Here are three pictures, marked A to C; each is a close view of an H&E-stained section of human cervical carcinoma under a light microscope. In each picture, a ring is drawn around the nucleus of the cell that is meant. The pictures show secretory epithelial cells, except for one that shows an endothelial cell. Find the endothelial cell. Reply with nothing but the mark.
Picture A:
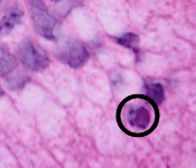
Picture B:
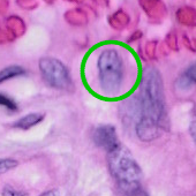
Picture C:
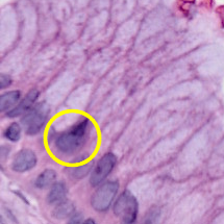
B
